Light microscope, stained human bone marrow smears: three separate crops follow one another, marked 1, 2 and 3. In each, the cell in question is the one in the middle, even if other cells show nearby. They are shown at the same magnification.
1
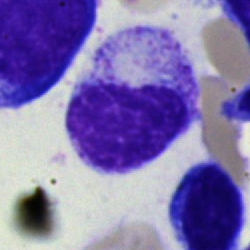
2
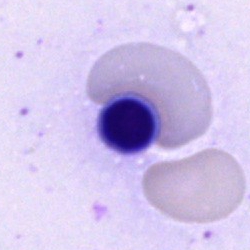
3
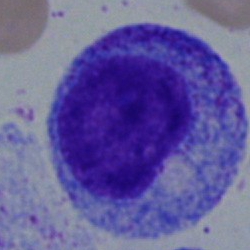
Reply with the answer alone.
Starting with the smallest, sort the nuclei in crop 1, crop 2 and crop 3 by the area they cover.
2, 1, 3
